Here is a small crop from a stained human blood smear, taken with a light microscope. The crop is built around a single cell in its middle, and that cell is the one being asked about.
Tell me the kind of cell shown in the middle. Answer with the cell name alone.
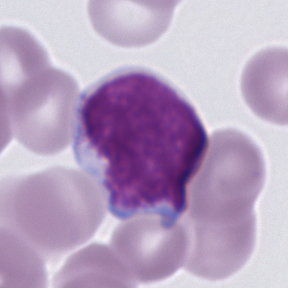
large granular lymphocyte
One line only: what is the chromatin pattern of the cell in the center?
Heads up, the chromatin is fine with no coarse clumps in it.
